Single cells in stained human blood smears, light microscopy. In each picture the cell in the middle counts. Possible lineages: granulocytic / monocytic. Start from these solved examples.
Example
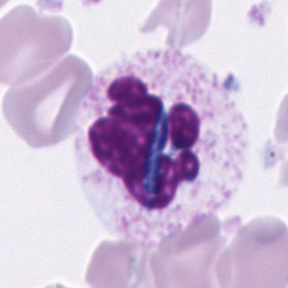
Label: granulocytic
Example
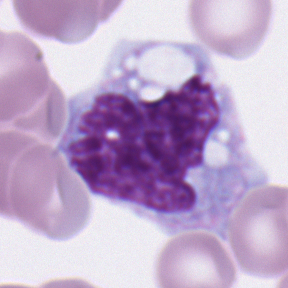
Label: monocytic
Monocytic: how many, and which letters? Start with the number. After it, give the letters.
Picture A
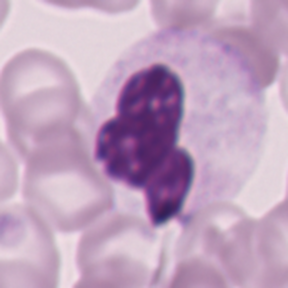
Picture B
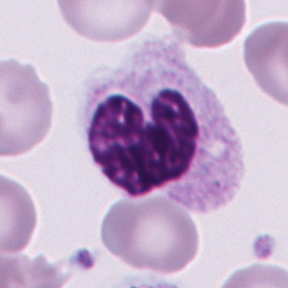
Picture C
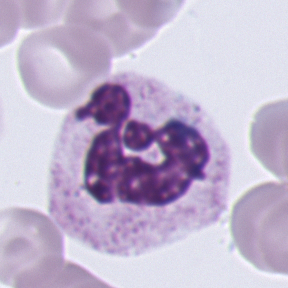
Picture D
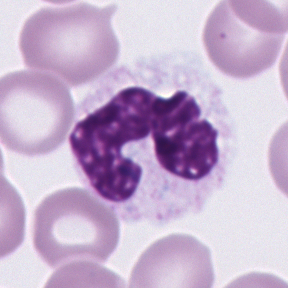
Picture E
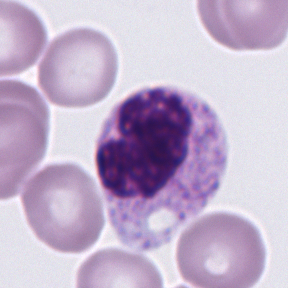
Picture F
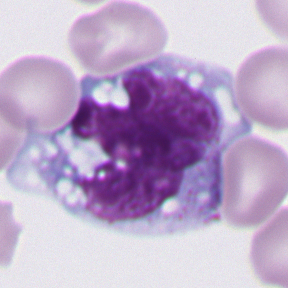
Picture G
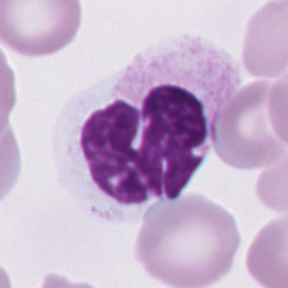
1: F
